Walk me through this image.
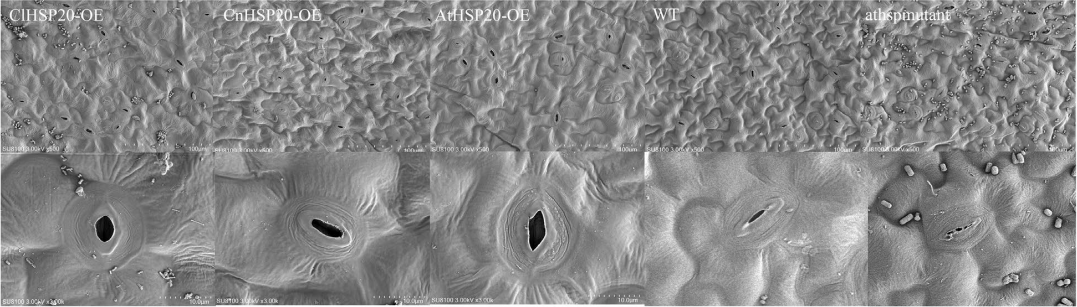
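Scanning electron micrographs of the leaf surface show the epidermis with its stomata. In the low-magnification upper row, the surface is made of irregular, wavy-walled pavement cells that fit together like a jigsaw, with small dark slit-like pores scattered among them and small particles lying on the surface. In the higher-magnification lower row, each image is centred on a single stoma: two curved guard cells enclose a central pore, surrounded by concentric folds of cuticle. The pore is wide and dark in some images and narrow or nearly closed in others, and some surfaces carry small angular crystal-like particles.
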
